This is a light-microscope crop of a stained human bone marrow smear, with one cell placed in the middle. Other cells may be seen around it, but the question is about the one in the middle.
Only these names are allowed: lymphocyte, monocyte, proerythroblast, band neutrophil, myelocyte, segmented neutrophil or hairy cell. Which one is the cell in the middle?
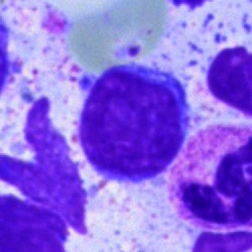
lymphocyte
